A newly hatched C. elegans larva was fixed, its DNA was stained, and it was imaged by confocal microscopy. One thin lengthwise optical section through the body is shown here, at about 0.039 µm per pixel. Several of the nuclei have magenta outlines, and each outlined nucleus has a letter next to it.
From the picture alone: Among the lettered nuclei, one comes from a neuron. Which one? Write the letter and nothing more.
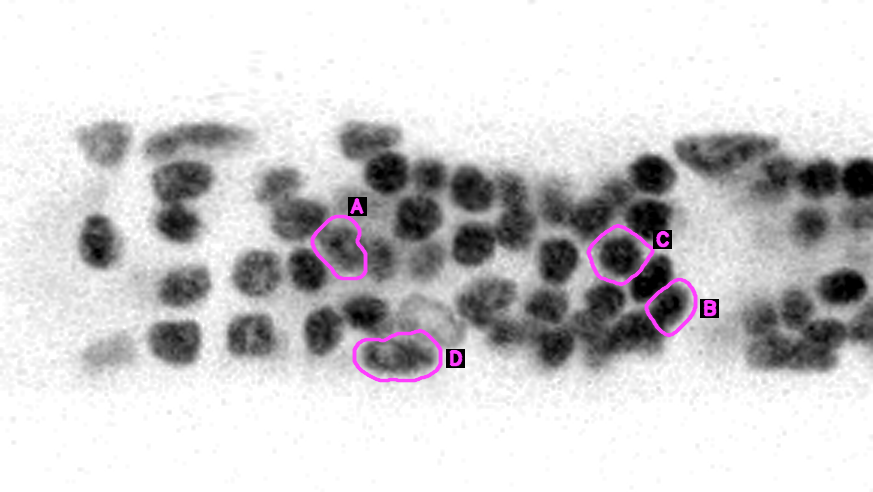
C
